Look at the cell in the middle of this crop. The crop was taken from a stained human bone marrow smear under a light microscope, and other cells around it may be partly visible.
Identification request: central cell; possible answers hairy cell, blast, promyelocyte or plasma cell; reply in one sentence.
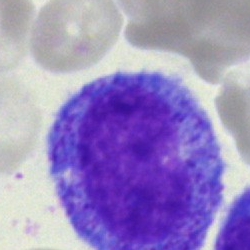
At the crop's centre, the cell is a promyelocyte.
